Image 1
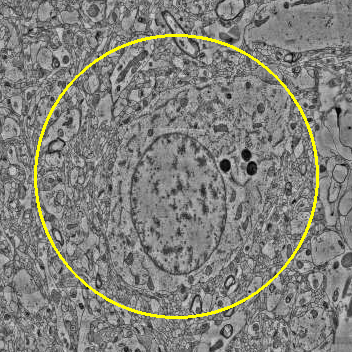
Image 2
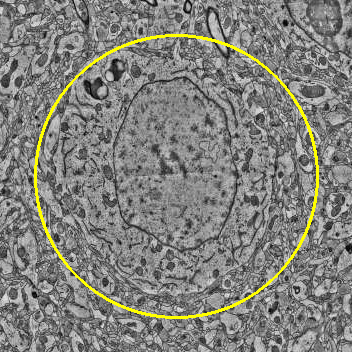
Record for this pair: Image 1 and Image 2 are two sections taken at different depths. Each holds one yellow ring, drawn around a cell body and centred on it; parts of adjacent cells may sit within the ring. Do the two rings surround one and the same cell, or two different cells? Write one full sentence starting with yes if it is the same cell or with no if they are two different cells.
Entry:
No, the two rings refer to two distinct cells.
